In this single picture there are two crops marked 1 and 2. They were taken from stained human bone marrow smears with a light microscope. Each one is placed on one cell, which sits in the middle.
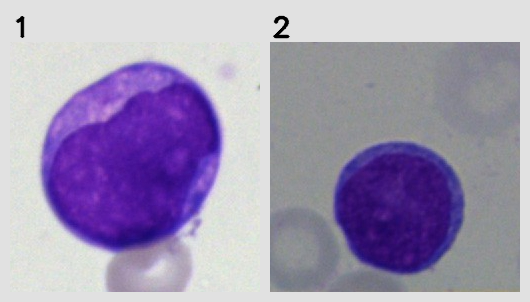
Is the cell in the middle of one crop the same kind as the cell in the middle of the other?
yes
